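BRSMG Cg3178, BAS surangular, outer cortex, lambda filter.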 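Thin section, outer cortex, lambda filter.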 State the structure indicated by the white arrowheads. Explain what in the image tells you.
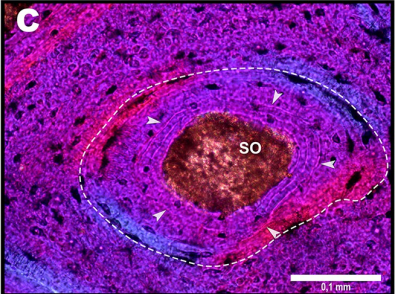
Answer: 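The arrowheads sit on a thin concentric line ringing the central canal. The answer: resorption lines.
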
